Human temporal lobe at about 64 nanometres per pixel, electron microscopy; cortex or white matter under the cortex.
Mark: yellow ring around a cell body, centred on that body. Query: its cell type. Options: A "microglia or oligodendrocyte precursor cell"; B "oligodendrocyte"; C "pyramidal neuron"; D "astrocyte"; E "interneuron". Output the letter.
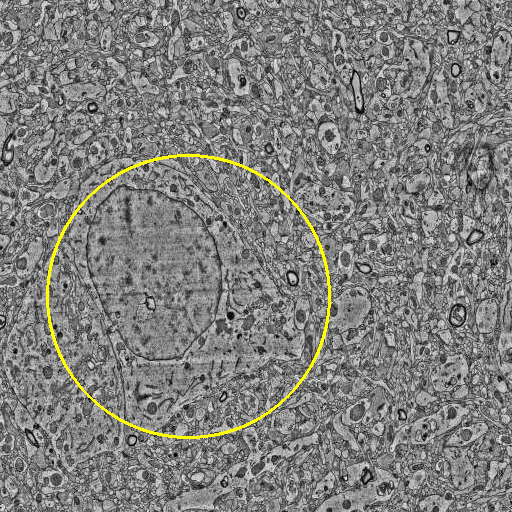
C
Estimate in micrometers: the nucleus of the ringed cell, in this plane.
About 12 micrometres by about 8 micrometres in this plane.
